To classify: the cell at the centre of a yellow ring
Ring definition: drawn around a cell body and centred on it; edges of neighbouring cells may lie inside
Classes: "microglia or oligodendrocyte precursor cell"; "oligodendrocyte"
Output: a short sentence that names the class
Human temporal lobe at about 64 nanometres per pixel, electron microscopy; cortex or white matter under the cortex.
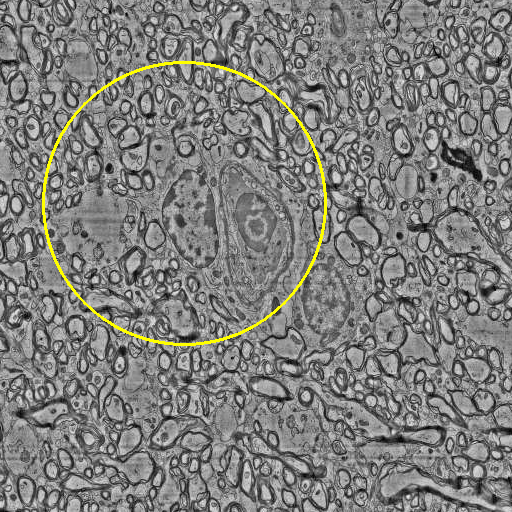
The ringed cell is a microglial cell or oligodendrocyte precursor cell.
